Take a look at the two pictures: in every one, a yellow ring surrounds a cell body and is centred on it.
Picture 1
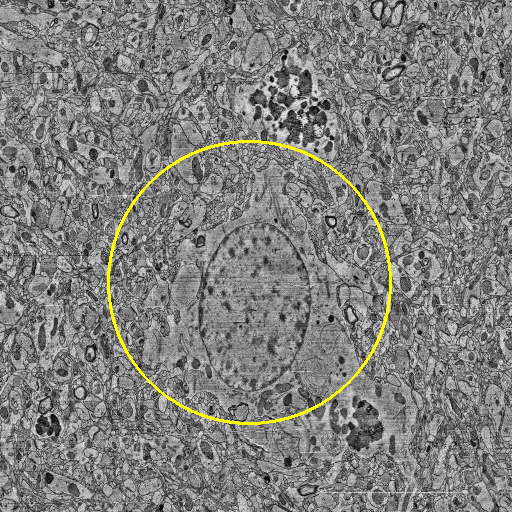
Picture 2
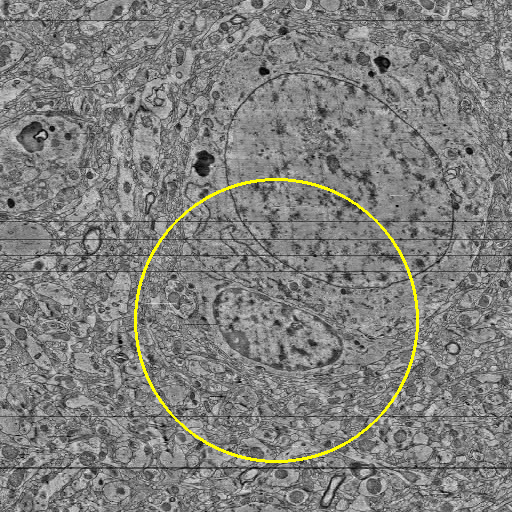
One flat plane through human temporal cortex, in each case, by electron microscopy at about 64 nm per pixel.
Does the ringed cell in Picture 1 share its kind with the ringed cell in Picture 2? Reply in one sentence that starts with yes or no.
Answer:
No, the two centred cells, one per picture, are of two kinds.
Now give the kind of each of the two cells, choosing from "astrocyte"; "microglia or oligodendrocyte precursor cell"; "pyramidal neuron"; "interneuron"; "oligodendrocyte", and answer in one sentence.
The cell in the first picture is an astrocyte, and the cell in the second is a microglial cell or oligodendrocyte precursor cell.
